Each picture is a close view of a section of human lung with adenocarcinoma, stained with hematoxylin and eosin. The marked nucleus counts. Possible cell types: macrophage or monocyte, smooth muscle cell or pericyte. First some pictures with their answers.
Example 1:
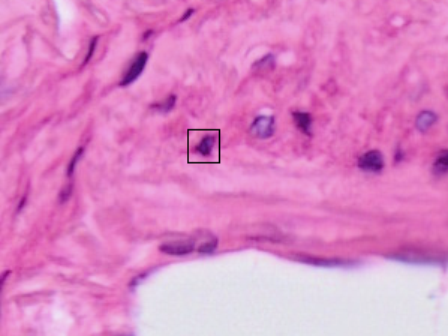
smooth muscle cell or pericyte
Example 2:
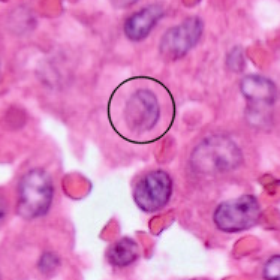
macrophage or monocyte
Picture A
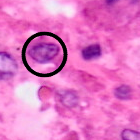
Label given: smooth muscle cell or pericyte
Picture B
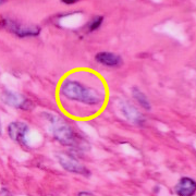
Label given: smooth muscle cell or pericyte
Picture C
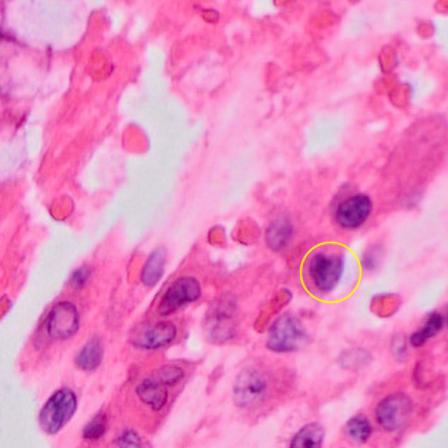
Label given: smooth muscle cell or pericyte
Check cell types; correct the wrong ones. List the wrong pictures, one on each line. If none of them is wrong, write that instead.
Wrong: A (smooth muscle cell or pericyte); correct: macrophage or monocyte
Wrong: C (smooth muscle cell or pericyte); correct: macrophage or monocyte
